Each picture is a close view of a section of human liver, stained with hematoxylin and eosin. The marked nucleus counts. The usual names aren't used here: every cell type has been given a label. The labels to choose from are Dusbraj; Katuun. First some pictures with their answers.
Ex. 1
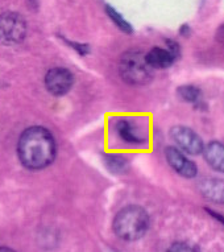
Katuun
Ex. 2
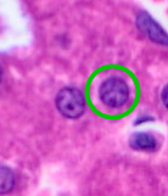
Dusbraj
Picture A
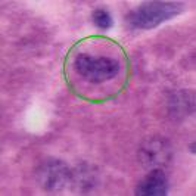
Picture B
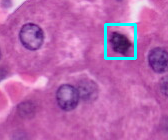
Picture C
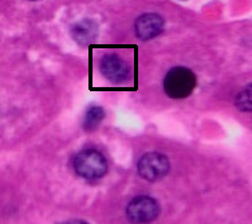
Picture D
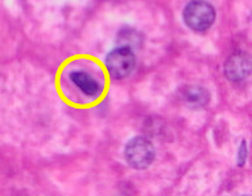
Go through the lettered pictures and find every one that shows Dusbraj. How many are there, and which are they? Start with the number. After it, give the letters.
0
